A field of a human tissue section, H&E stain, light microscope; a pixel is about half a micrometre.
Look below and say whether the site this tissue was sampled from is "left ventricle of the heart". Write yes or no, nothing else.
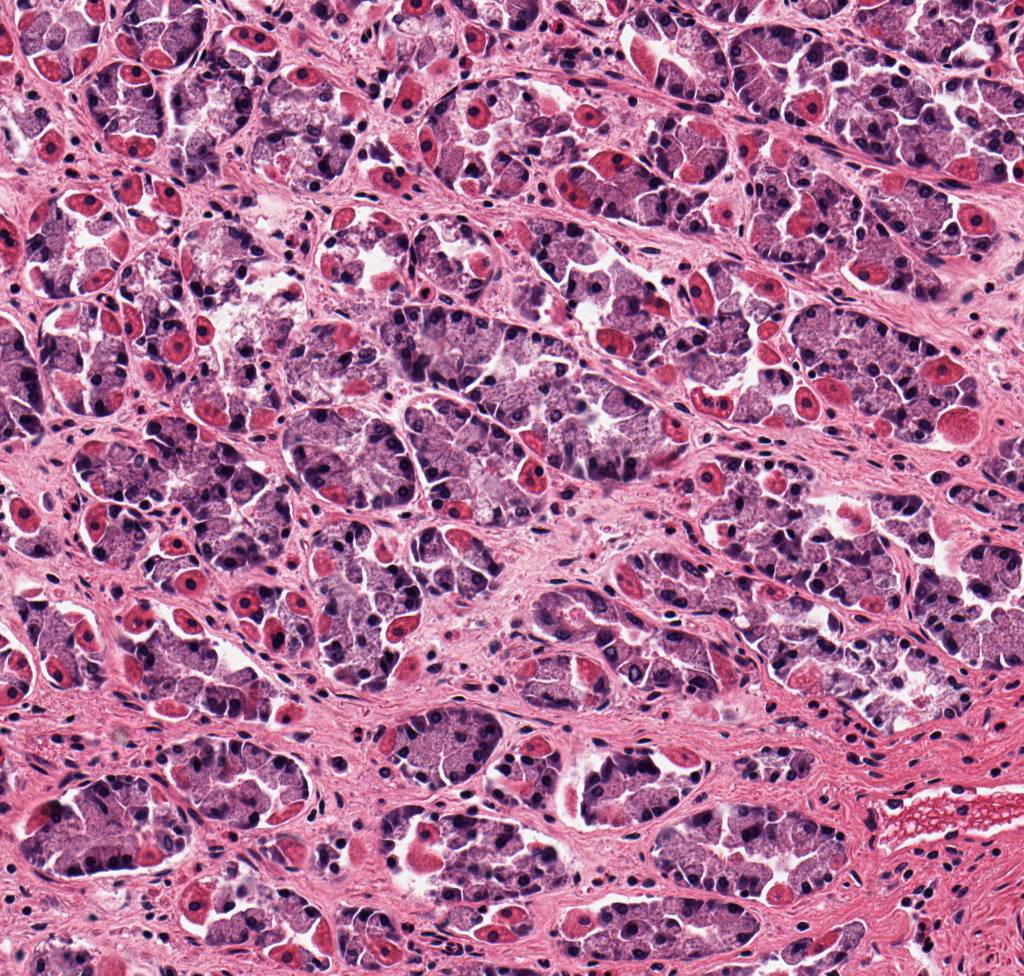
no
